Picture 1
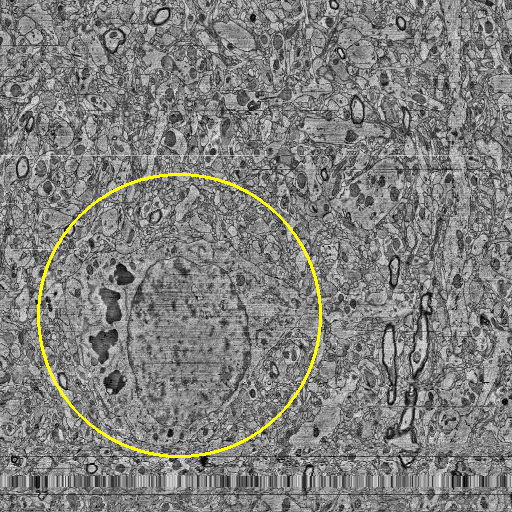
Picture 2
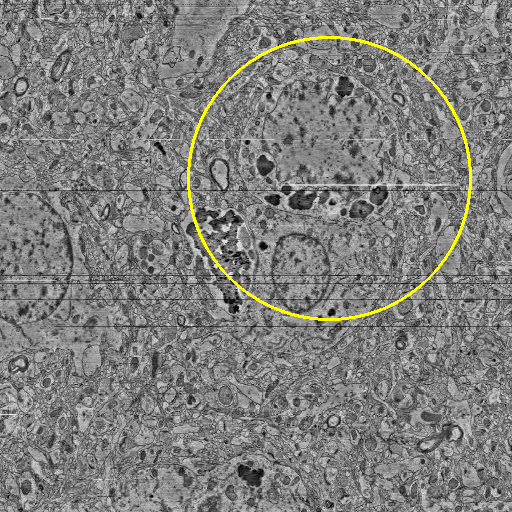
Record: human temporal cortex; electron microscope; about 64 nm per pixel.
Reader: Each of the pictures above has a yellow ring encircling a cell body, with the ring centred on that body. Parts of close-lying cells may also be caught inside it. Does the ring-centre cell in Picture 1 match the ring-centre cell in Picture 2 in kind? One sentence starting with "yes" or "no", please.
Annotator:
Yes, Picture 1 and Picture 2 show ring-centre cells of a single kind.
